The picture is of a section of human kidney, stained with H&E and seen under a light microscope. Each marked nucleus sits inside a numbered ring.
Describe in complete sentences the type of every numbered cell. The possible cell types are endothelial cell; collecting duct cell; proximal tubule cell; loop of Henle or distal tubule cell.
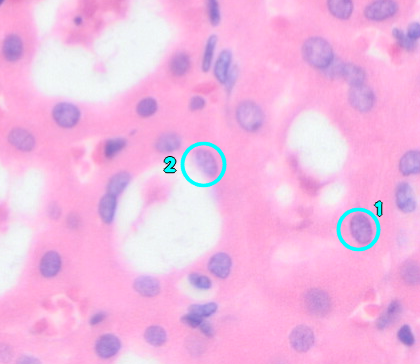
Cell 1 is a proximal tubule cell and cell 2 is a loop of Henle or distal tubule cell.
